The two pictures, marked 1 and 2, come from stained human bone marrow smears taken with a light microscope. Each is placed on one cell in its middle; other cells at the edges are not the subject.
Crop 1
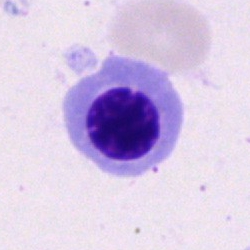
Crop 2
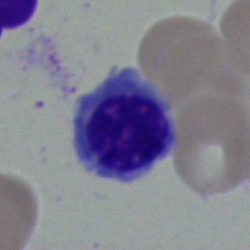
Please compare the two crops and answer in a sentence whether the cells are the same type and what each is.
Yes, the two crops show normoblasts at their centres.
